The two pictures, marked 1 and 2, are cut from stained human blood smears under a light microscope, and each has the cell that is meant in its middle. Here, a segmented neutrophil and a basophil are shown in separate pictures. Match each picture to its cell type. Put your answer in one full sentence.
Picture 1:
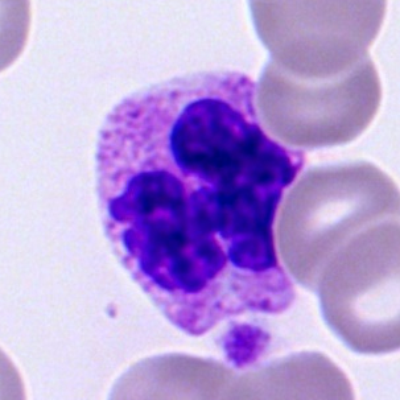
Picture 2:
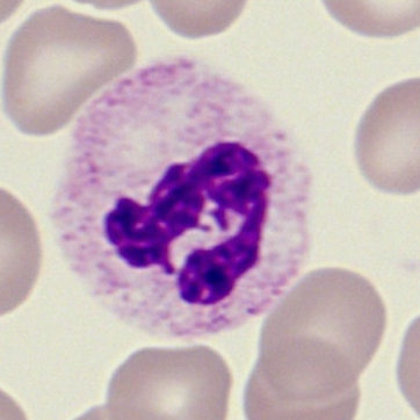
The cell in picture 1 is a basophil, and the one in picture 2 is a segmented neutrophil.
